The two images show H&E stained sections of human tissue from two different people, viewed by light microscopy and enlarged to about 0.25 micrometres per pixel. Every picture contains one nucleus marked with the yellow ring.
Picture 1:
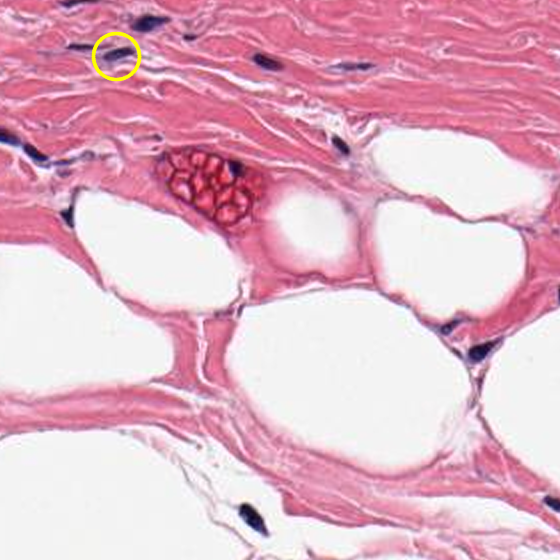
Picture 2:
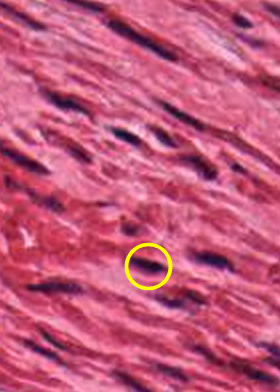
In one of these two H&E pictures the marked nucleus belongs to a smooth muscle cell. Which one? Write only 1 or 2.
2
